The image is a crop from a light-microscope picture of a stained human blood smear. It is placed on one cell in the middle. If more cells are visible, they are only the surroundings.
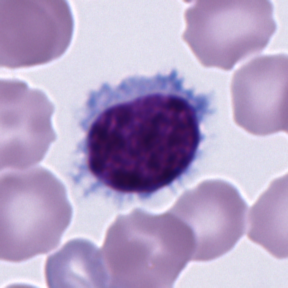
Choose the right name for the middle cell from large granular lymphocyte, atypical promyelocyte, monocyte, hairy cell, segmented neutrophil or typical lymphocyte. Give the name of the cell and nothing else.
hairy cell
